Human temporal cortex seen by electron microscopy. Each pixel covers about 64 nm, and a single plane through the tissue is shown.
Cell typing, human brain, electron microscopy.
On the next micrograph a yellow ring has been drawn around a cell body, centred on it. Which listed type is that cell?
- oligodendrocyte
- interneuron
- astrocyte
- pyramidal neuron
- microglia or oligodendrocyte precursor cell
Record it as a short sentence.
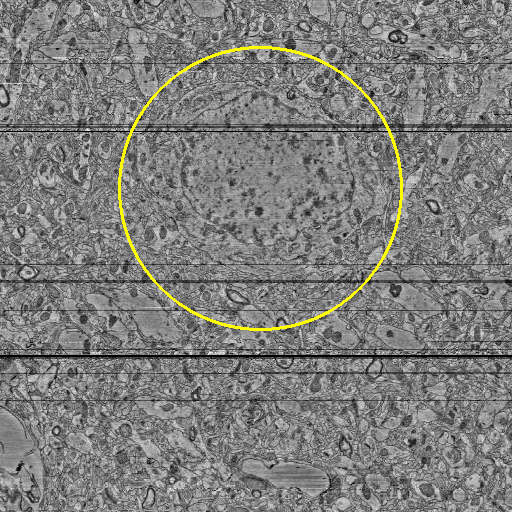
The cell body in the ring's centre belongs to an interneuron.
